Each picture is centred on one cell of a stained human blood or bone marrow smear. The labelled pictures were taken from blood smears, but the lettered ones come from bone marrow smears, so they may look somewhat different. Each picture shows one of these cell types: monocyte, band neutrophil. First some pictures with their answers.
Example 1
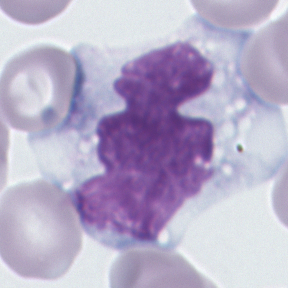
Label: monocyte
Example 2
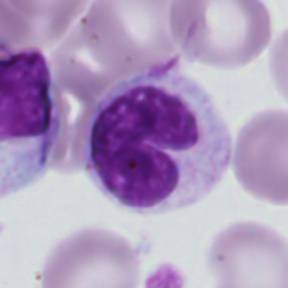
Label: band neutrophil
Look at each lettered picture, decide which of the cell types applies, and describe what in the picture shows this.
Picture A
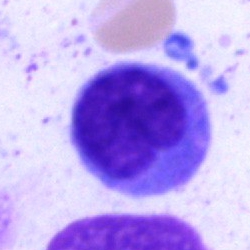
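Answer: monocyte. The nucleus fills most of the cell.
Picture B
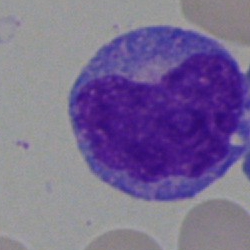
Answer: monocyte. The nucleus fills most of the cell.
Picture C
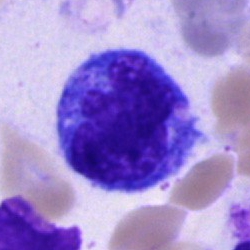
Answer: monocyte. The nucleus fills most of the cell.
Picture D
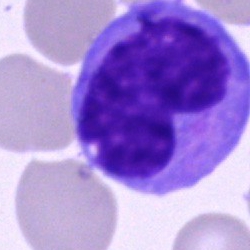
Answer: monocyte. The nucleus fills most of the cell.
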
